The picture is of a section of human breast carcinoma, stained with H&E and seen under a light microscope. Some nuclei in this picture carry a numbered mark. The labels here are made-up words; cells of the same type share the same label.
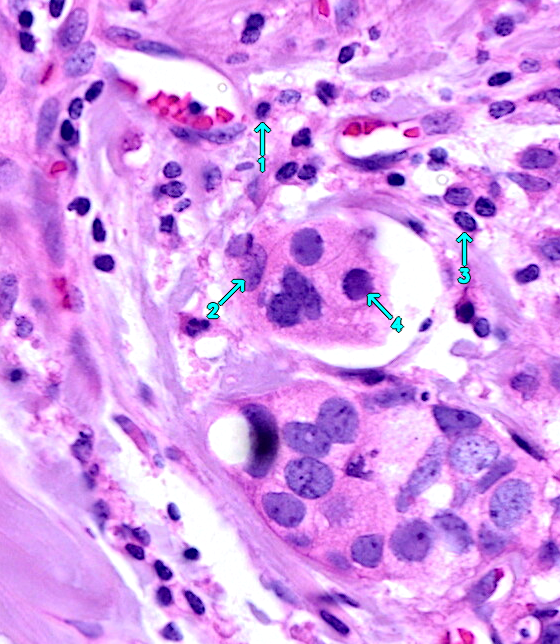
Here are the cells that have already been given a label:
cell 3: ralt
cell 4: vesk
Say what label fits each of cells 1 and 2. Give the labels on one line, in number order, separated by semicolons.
ralt; vesk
